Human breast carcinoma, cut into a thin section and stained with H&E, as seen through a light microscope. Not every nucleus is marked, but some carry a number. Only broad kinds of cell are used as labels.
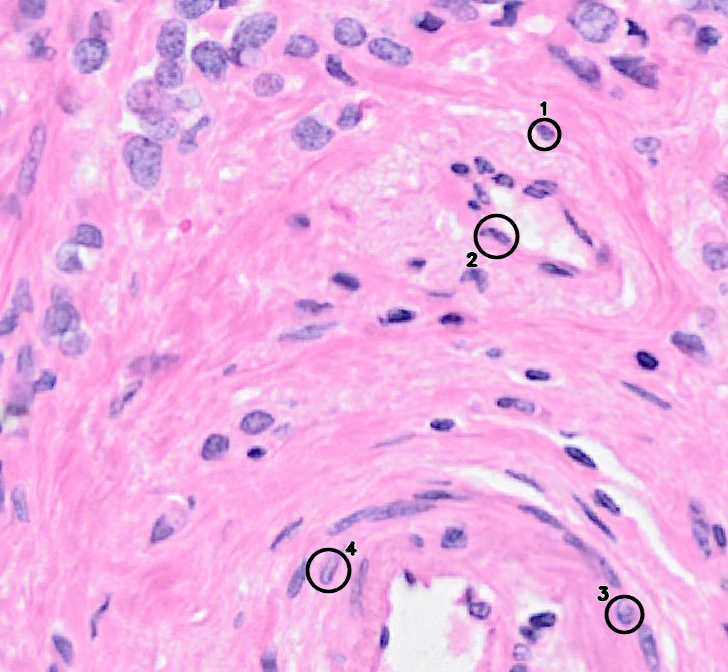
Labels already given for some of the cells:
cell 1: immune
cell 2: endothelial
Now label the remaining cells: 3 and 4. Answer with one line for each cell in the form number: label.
3: endothelial
4: endothelial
